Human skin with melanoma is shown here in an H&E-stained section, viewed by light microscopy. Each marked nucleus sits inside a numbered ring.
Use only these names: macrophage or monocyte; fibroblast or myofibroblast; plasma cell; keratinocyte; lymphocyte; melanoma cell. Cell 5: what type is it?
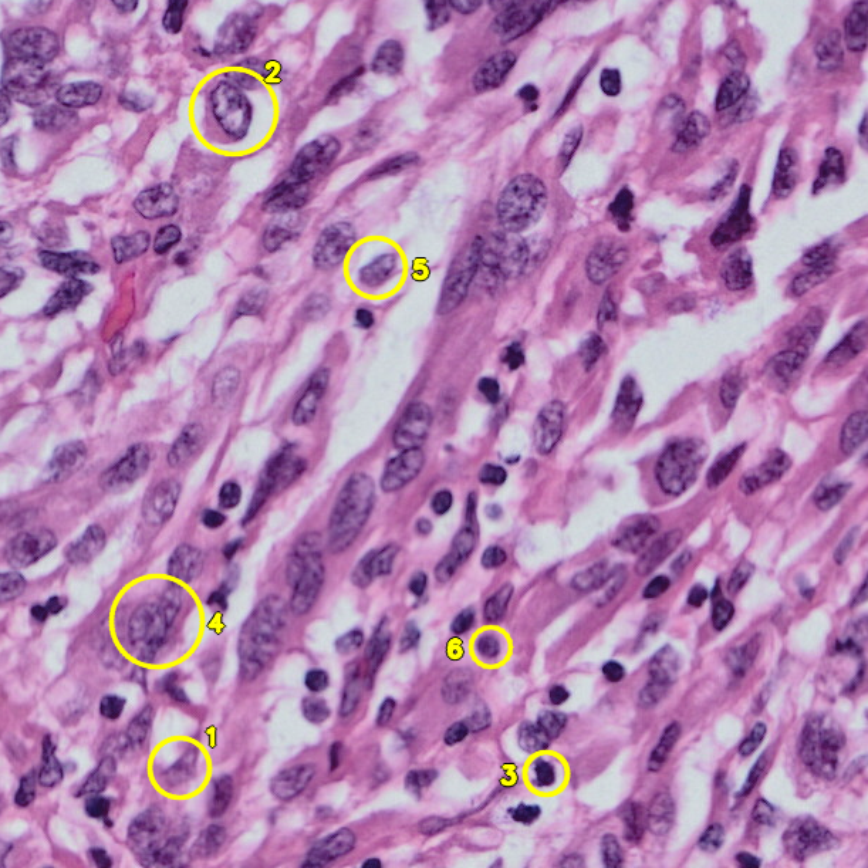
melanoma cell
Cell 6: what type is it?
lymphocyte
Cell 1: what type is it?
melanoma cell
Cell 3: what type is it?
lymphocyte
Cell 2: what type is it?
melanoma cell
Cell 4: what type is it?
melanoma cell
